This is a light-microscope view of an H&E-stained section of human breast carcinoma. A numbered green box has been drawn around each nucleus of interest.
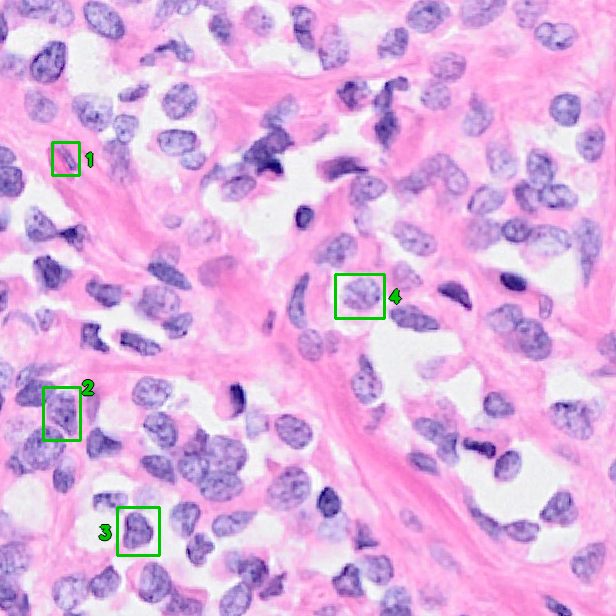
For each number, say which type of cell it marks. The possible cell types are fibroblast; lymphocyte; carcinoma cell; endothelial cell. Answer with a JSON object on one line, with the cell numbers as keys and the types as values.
{"1": "endothelial cell", "2": "carcinoma cell", "3": "carcinoma cell", "4": "carcinoma cell"}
